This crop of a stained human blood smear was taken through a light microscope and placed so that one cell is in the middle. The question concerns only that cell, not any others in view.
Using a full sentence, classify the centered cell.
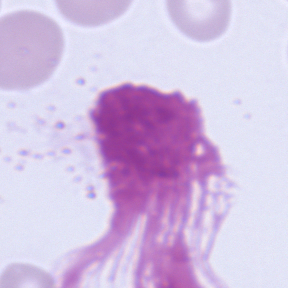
The cell of interest, in the center, is a smudge cell.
